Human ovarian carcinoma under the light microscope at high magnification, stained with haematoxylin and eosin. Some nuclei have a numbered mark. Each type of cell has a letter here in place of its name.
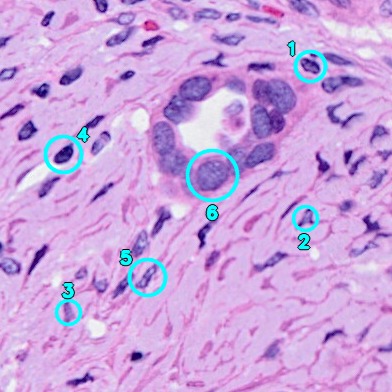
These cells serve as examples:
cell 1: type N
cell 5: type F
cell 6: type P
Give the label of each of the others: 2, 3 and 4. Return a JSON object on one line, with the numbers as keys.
{"2": "type F", "3": "type F", "4": "type N"}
